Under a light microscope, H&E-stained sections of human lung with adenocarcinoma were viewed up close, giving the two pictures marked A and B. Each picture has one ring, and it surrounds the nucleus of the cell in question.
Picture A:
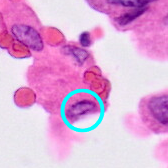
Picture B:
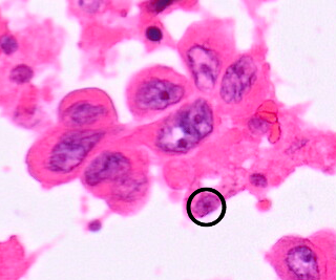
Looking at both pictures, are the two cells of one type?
yes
